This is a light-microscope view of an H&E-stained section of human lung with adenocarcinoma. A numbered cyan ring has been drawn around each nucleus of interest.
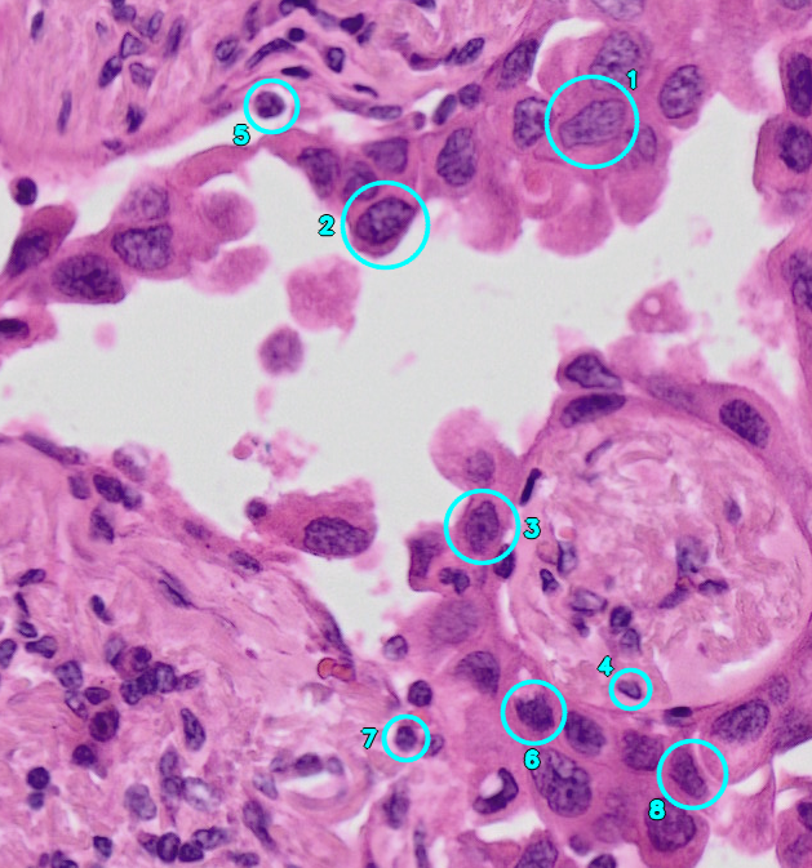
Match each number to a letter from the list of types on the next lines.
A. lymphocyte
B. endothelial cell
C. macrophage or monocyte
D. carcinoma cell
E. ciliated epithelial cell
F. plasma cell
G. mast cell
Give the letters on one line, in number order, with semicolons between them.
D; D; D; A; A; D; A; D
